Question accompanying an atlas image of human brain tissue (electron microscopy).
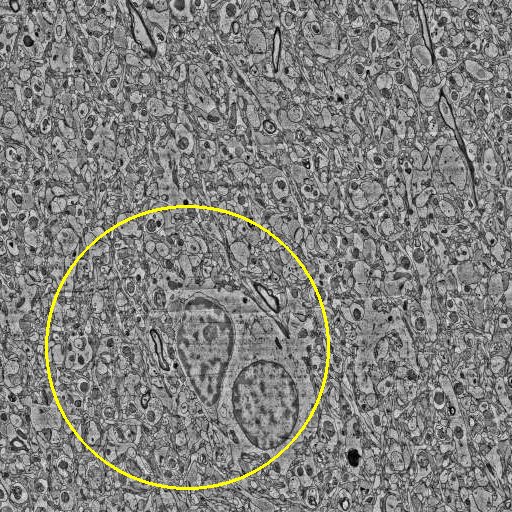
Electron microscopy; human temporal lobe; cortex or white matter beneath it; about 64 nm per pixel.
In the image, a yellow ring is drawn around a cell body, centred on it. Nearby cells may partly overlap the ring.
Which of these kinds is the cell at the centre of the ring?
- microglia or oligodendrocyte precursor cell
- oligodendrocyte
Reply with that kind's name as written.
microglia or oligodendrocyte precursor cell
